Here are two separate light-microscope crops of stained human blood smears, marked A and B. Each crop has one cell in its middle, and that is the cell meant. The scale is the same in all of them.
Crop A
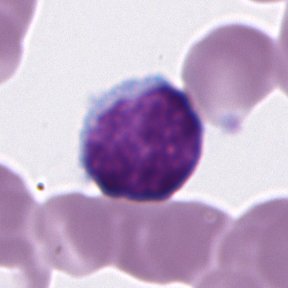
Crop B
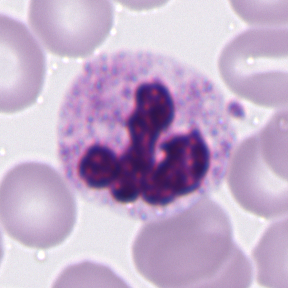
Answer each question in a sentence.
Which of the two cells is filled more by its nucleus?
In crop A the nucleus takes up the larger part of its cell.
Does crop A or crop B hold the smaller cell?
Crop A holds the smaller cell, since the cell in crop B covers about 1.5 times as much area.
